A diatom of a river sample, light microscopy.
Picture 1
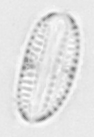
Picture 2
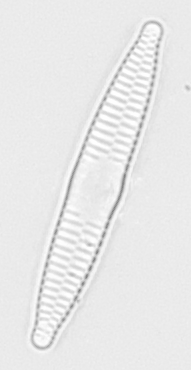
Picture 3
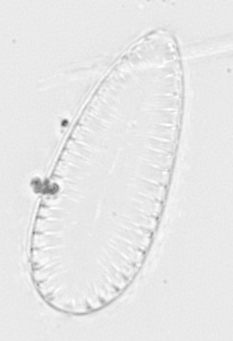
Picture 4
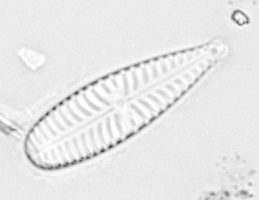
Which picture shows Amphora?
Picture 1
